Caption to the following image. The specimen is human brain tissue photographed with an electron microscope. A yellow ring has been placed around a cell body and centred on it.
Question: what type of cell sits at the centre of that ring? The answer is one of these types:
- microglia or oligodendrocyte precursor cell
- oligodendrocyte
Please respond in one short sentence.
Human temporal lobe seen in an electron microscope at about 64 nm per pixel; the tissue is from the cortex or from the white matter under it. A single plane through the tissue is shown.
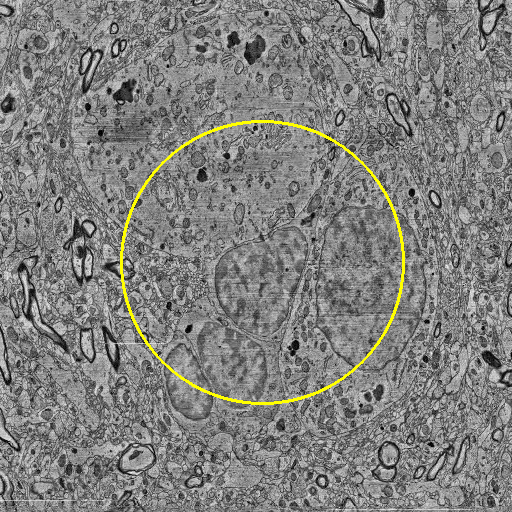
The ring surrounds the cell body of an oligodendrocyte.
